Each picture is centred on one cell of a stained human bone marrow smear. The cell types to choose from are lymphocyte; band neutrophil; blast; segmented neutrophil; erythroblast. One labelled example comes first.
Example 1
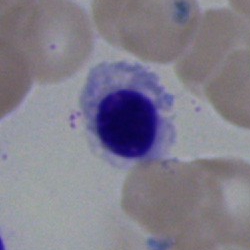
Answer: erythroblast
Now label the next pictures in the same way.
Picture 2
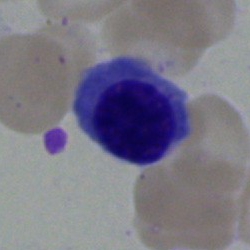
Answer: erythroblast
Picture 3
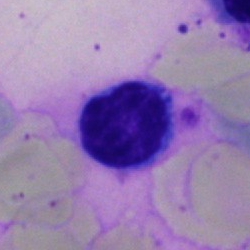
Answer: lymphocyte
